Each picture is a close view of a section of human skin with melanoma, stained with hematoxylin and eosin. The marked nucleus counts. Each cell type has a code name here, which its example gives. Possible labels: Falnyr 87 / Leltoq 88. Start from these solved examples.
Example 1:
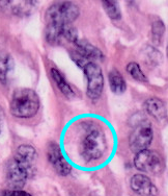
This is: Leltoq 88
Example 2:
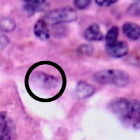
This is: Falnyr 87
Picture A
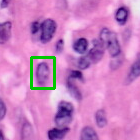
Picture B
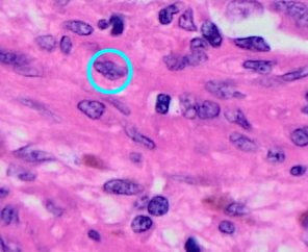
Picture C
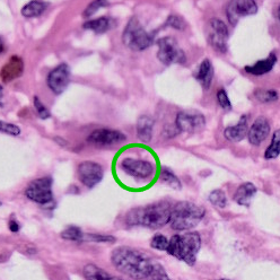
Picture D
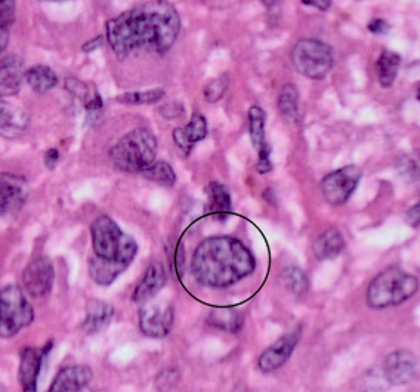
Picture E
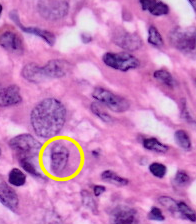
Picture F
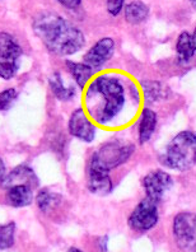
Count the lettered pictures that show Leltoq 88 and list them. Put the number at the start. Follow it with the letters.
3: D, E, F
